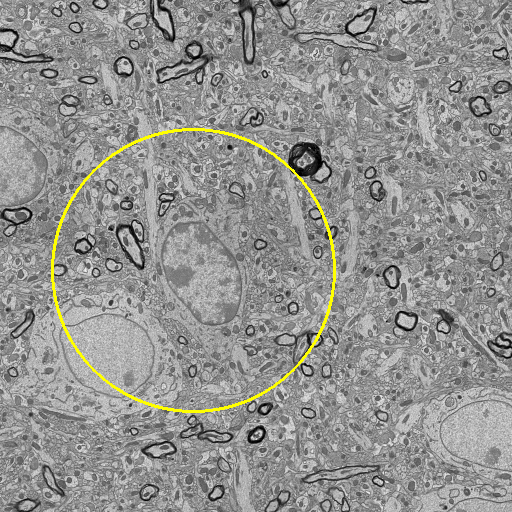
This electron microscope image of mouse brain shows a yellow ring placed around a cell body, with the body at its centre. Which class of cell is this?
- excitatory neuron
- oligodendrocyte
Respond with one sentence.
The cell body at the ring's centre is an oligodendrocyte.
